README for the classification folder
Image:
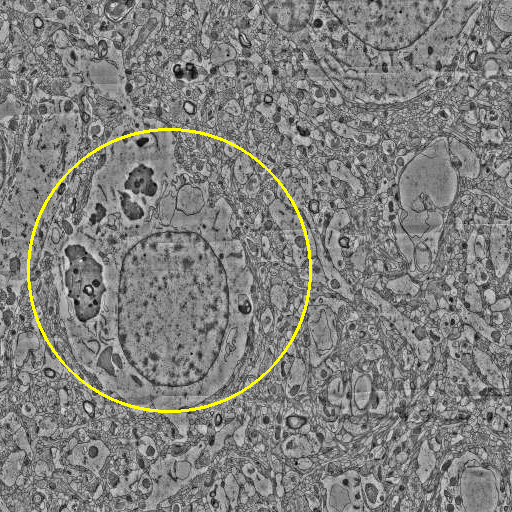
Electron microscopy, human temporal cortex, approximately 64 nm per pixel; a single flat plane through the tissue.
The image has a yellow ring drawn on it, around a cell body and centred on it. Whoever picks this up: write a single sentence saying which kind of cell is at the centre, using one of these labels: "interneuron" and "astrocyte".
This cell body is that of an astrocyte.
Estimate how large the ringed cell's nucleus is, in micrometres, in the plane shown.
The nucleus comes to roughly 10 by 7 micrometres in this plane.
